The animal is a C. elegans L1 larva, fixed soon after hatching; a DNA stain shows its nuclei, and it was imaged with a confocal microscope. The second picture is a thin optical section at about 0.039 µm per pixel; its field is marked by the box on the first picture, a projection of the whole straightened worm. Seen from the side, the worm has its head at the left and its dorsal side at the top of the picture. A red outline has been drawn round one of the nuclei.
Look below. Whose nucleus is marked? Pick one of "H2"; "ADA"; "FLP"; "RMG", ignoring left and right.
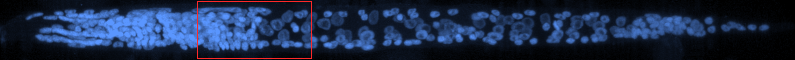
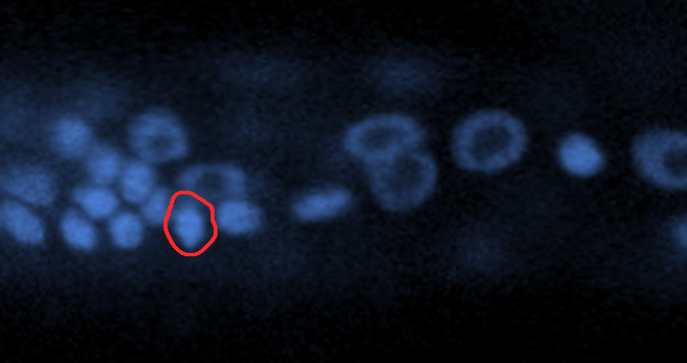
ADA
